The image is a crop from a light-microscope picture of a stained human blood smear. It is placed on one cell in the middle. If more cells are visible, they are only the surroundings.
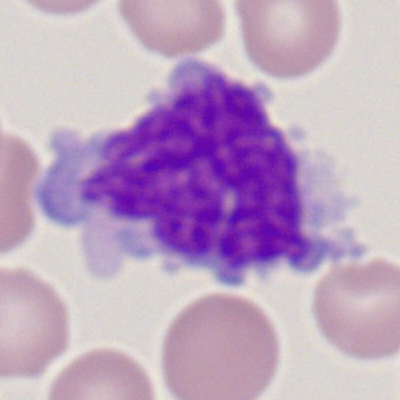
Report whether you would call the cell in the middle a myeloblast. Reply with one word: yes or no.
no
